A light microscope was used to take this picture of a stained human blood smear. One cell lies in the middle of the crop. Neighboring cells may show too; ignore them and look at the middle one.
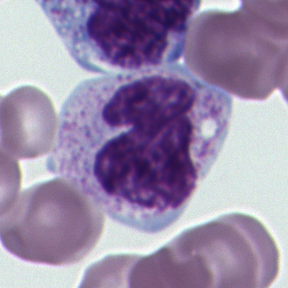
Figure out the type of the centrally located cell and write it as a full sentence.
Positioned in the middle of the crop is a band neutrophil.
